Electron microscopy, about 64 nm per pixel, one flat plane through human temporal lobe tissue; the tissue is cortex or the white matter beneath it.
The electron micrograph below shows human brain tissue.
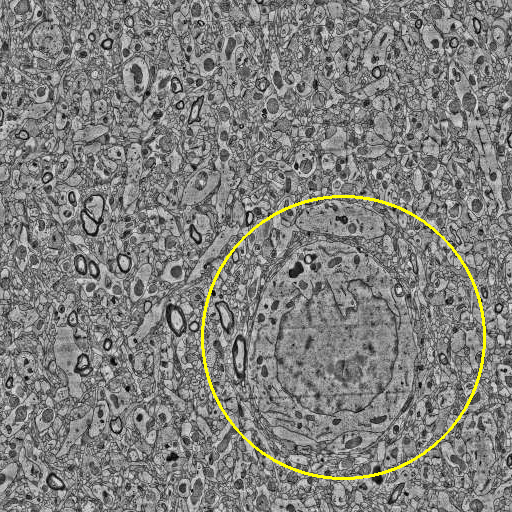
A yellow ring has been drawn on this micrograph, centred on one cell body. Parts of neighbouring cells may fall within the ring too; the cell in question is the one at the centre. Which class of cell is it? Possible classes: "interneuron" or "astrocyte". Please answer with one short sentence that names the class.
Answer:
In the centre of the ring sits an interneuron.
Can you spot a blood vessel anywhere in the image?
No, the picture includes no blood vessel.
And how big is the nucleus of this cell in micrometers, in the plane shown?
About 8 micrometres across in this plane.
